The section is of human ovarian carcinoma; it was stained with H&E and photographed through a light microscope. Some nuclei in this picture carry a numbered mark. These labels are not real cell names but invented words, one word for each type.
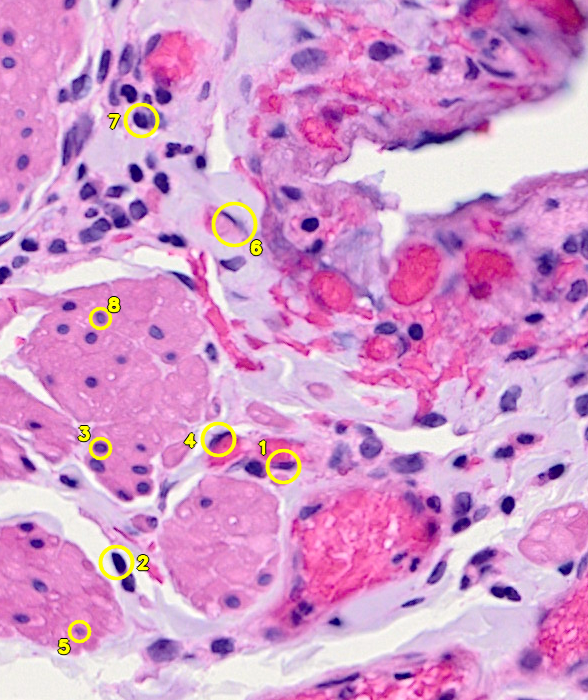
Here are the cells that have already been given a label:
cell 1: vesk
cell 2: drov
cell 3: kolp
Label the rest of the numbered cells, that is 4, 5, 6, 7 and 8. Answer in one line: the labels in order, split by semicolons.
vesk; kolp; vesk; drov; kolp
